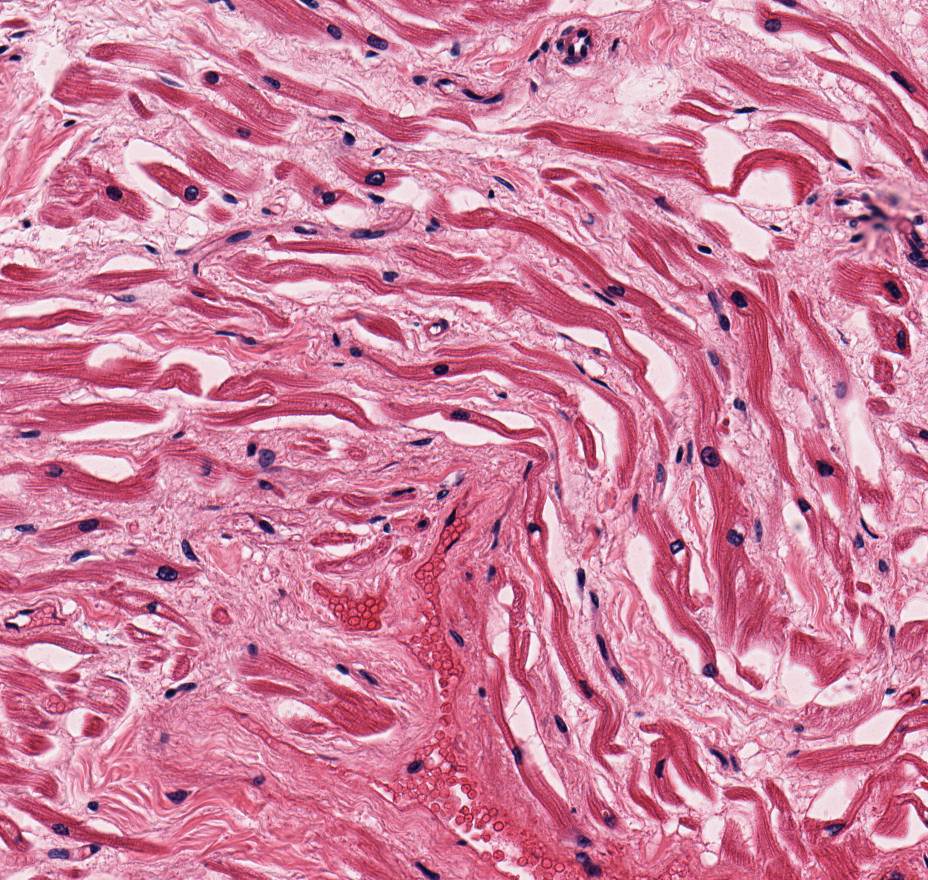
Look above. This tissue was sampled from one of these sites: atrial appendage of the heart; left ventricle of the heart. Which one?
atrial appendage of the heart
